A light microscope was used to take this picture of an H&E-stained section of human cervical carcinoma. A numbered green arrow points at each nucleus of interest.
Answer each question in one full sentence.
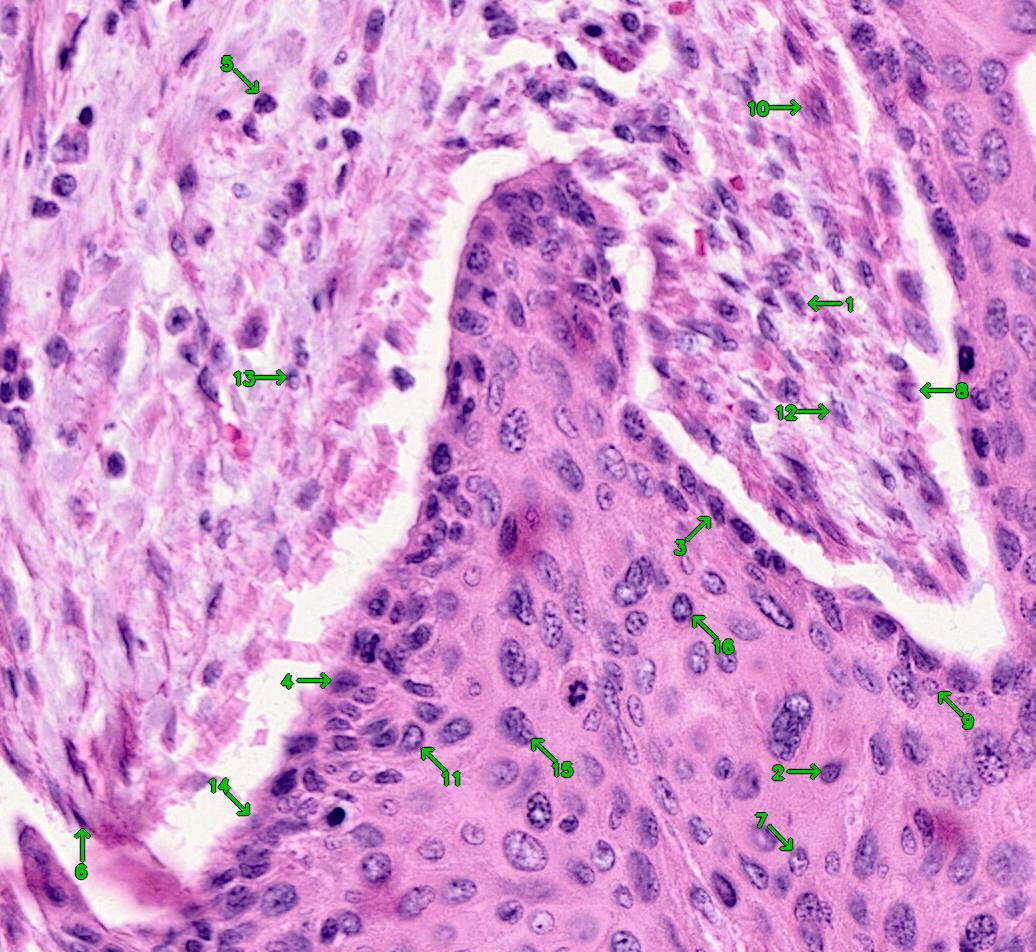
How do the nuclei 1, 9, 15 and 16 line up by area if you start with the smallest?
From smallest to largest, the order is 9, 1, 16, 15.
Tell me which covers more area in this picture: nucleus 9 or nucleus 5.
Nucleus 5 is larger, with an area about 2.5 times that of nucleus 9.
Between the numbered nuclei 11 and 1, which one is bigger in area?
At about 1.5 times the area of nucleus 1, nucleus 11 is the larger of the two.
